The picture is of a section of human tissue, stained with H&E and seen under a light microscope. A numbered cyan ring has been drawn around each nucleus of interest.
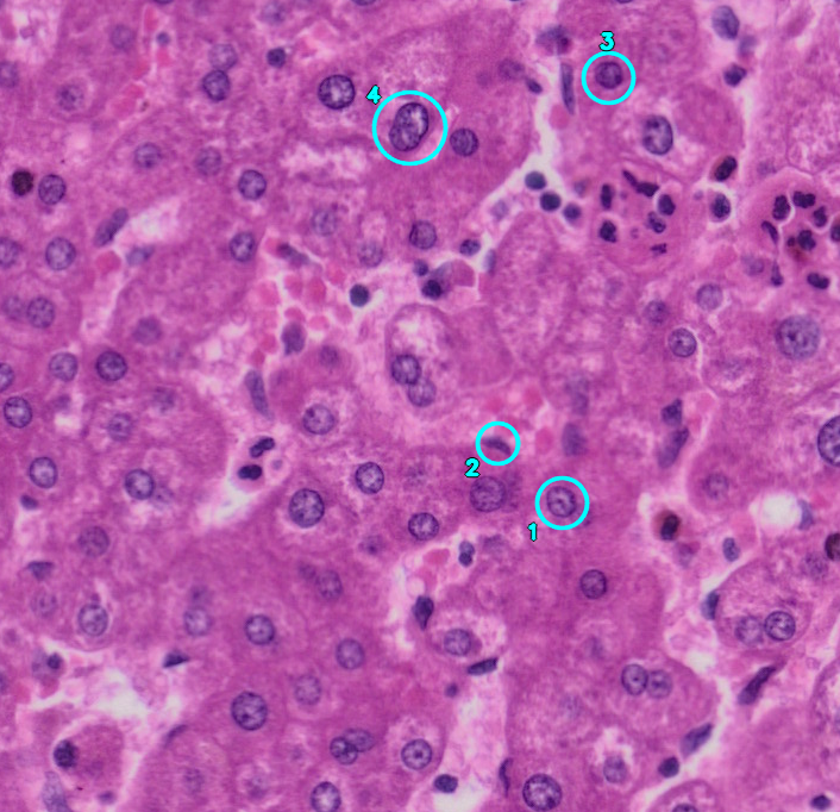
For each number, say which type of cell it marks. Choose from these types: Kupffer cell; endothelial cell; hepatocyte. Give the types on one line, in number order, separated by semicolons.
hepatocyte; endothelial cell; hepatocyte; hepatocyte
